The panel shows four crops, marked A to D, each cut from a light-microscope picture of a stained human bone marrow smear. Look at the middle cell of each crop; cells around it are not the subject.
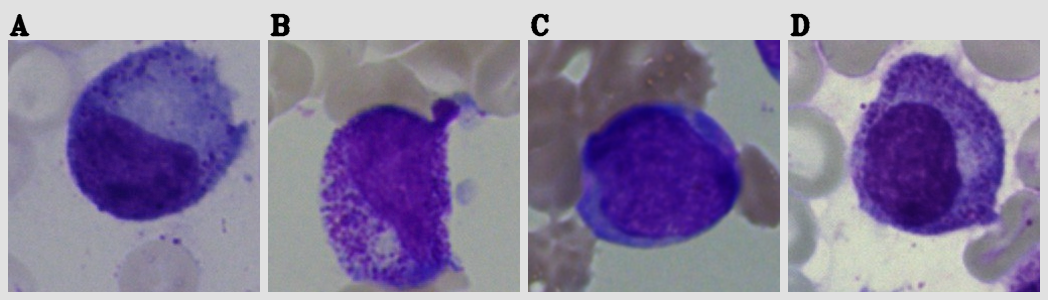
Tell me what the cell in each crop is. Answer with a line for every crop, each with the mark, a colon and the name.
A: myelocyte
B: myelocyte
C: blast
D: myelocyte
